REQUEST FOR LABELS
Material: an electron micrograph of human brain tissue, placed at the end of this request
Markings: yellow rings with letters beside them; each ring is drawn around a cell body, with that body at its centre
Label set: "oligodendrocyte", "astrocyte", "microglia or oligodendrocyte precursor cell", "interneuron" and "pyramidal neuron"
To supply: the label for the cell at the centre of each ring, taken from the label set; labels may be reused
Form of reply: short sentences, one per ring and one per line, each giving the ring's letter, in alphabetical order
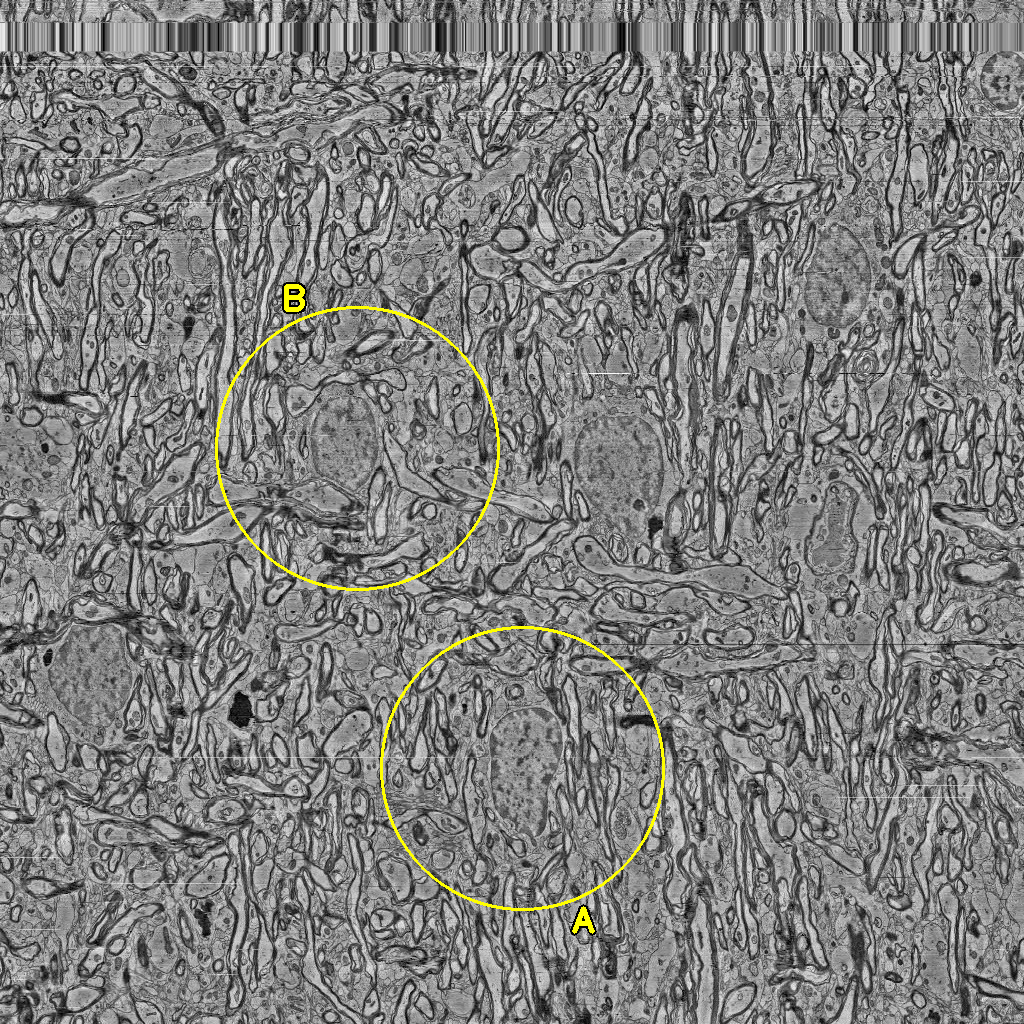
Ring A: the cell in the middle is a microglial cell or oligodendrocyte precursor cell.
Ring B: the cell in the middle is an oligodendrocyte.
